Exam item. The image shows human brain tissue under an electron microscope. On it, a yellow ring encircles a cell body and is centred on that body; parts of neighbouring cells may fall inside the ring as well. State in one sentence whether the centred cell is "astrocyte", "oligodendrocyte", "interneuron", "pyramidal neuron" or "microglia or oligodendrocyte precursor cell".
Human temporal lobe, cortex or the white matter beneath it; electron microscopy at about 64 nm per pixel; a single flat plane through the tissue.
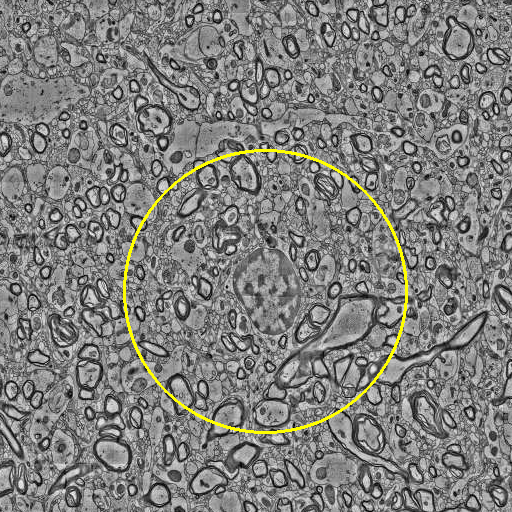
The cell body centred in the ring is a microglial cell or oligodendrocyte precursor cell.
